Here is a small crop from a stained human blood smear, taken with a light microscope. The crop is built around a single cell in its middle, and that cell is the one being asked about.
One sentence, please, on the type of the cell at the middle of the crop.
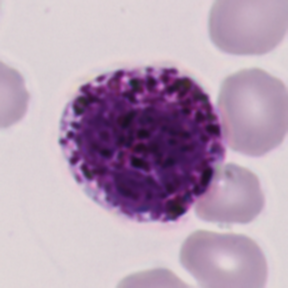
The cell sitting right in the middle is a basophil.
